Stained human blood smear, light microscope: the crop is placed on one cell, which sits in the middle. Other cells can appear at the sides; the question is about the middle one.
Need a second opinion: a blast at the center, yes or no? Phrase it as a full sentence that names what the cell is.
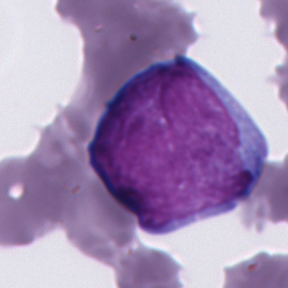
Yes, the cell in the middle of the view is a blast.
